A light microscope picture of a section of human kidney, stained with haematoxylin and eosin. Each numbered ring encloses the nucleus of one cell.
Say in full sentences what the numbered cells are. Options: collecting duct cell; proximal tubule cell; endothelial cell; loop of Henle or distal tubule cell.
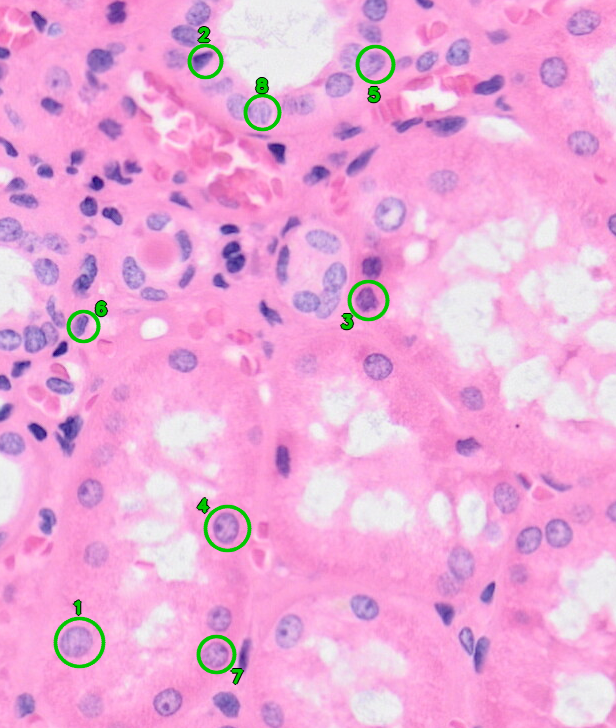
Cells 1, 3, 4 and 7 are proximal tubule cells. Cells 2, 5 and 8 are collecting duct cells. Cell 6 is an endothelial cell.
